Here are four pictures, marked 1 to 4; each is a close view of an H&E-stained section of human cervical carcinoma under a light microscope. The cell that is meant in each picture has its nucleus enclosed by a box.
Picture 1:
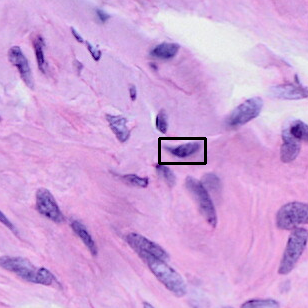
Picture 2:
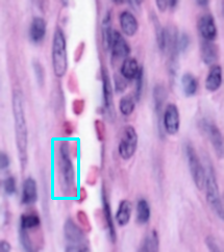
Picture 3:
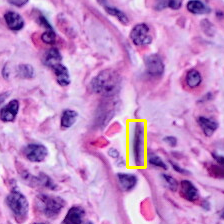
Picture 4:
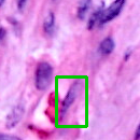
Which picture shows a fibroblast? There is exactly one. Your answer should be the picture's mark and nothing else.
1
